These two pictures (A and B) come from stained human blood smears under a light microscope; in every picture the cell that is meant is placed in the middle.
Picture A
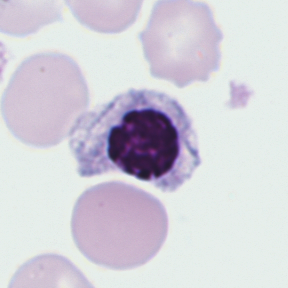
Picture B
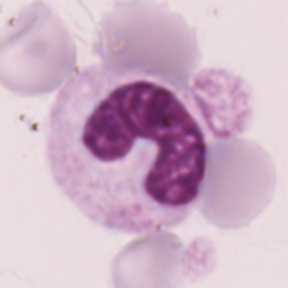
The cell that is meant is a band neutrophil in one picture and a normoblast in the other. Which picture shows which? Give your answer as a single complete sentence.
In picture A the cell is a normoblast; in picture B, a band neutrophil.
